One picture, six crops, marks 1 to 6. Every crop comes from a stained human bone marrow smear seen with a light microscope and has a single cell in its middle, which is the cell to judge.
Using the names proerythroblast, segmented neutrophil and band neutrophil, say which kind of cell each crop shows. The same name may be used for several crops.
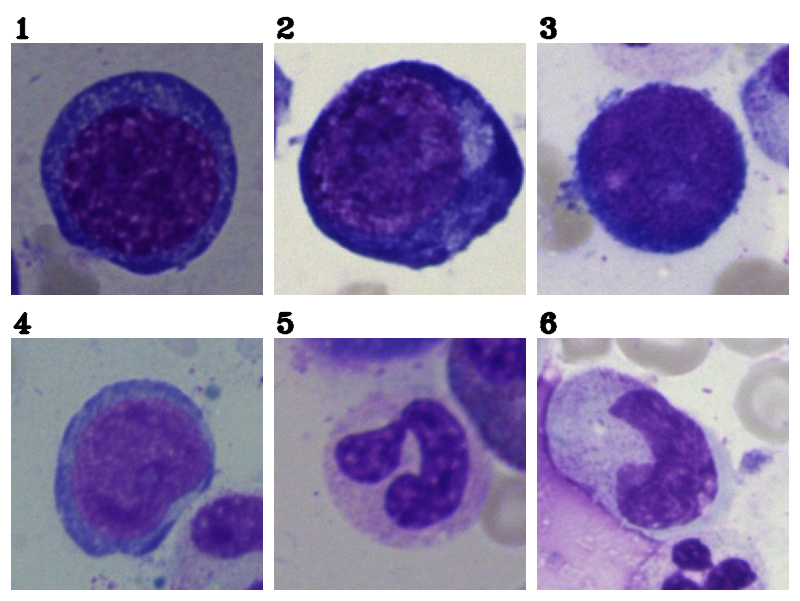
1: proerythroblast
2: proerythroblast
3: proerythroblast
4: proerythroblast
5: segmented neutrophil
6: band neutrophil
